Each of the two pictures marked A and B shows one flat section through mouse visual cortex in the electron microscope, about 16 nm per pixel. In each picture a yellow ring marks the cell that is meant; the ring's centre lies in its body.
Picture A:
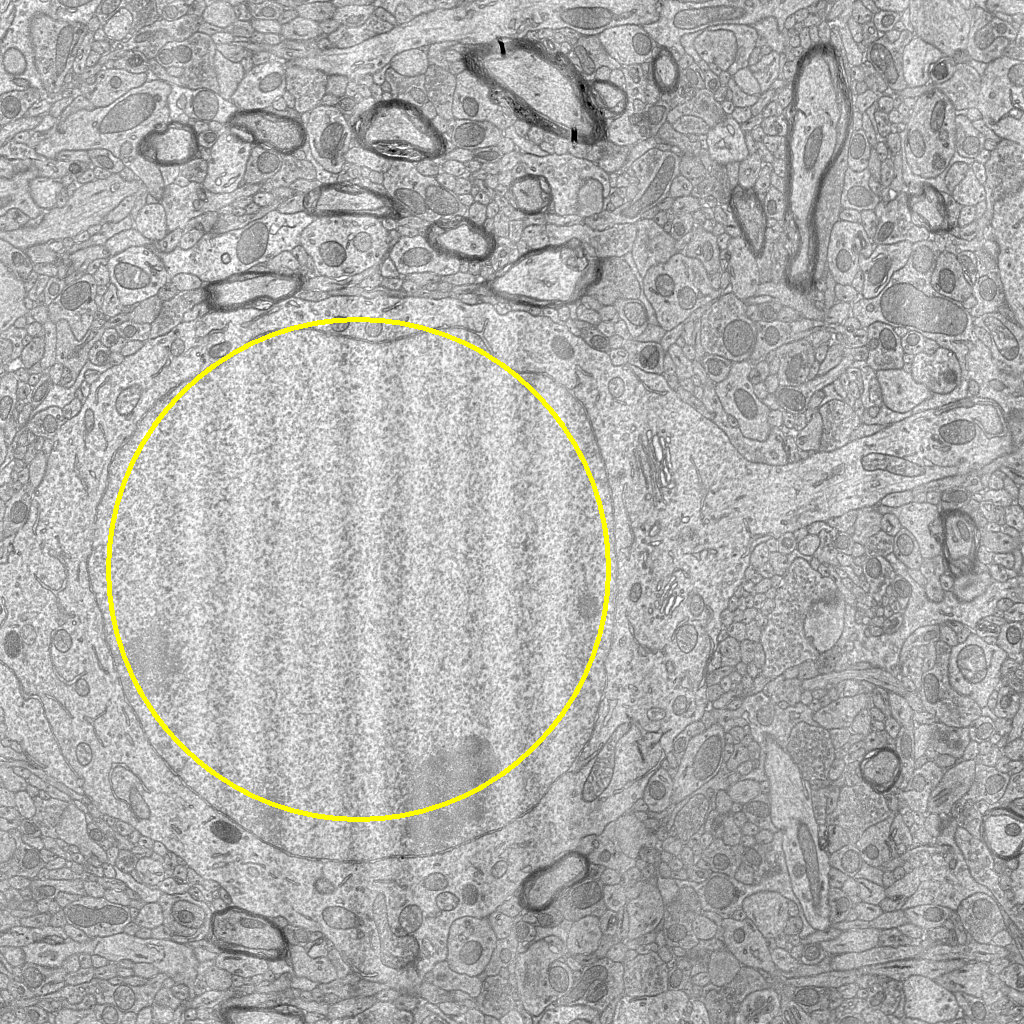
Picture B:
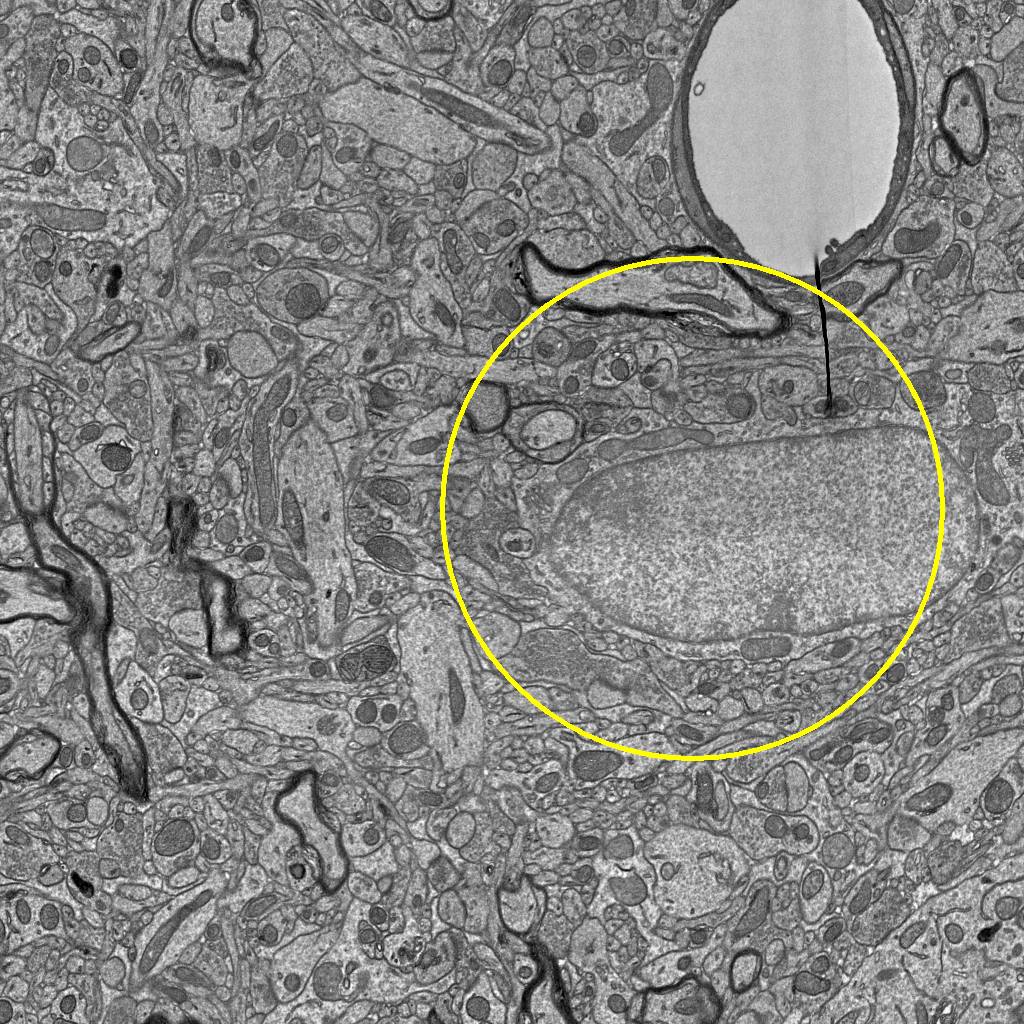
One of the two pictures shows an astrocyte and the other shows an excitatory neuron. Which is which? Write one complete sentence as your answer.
Picture A shows an excitatory neuron and picture B shows an astrocyte.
